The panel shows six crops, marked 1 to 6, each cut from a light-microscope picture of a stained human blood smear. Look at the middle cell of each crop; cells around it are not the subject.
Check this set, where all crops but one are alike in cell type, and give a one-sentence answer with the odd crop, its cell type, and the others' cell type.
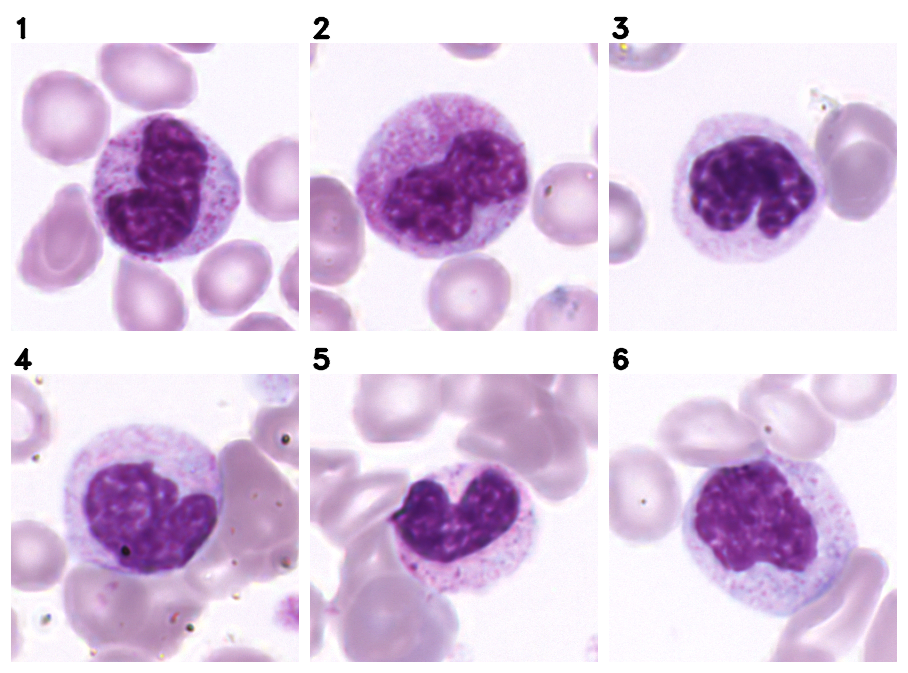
Identified in crop 6 is a metamyelocyte, whereas the other crops all show band neutrophils.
